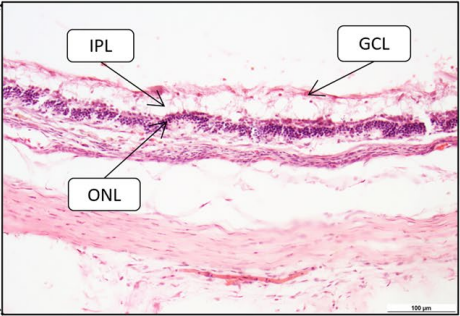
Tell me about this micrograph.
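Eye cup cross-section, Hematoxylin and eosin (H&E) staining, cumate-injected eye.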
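Section of thin, degenerated retina in which the layers are irregular and hard to separate. A single wavy band of dark purple nuclei runs across the section in place of distinct nuclear layers. Above it the inner tissue is loose, pale and vacuolated, with a thin pink inner border. Below the nuclear band lie wavy strands of pink tissue with scattered elongated nuclei, then a thick pink fibrous layer. No even band of outer segments is seen.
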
